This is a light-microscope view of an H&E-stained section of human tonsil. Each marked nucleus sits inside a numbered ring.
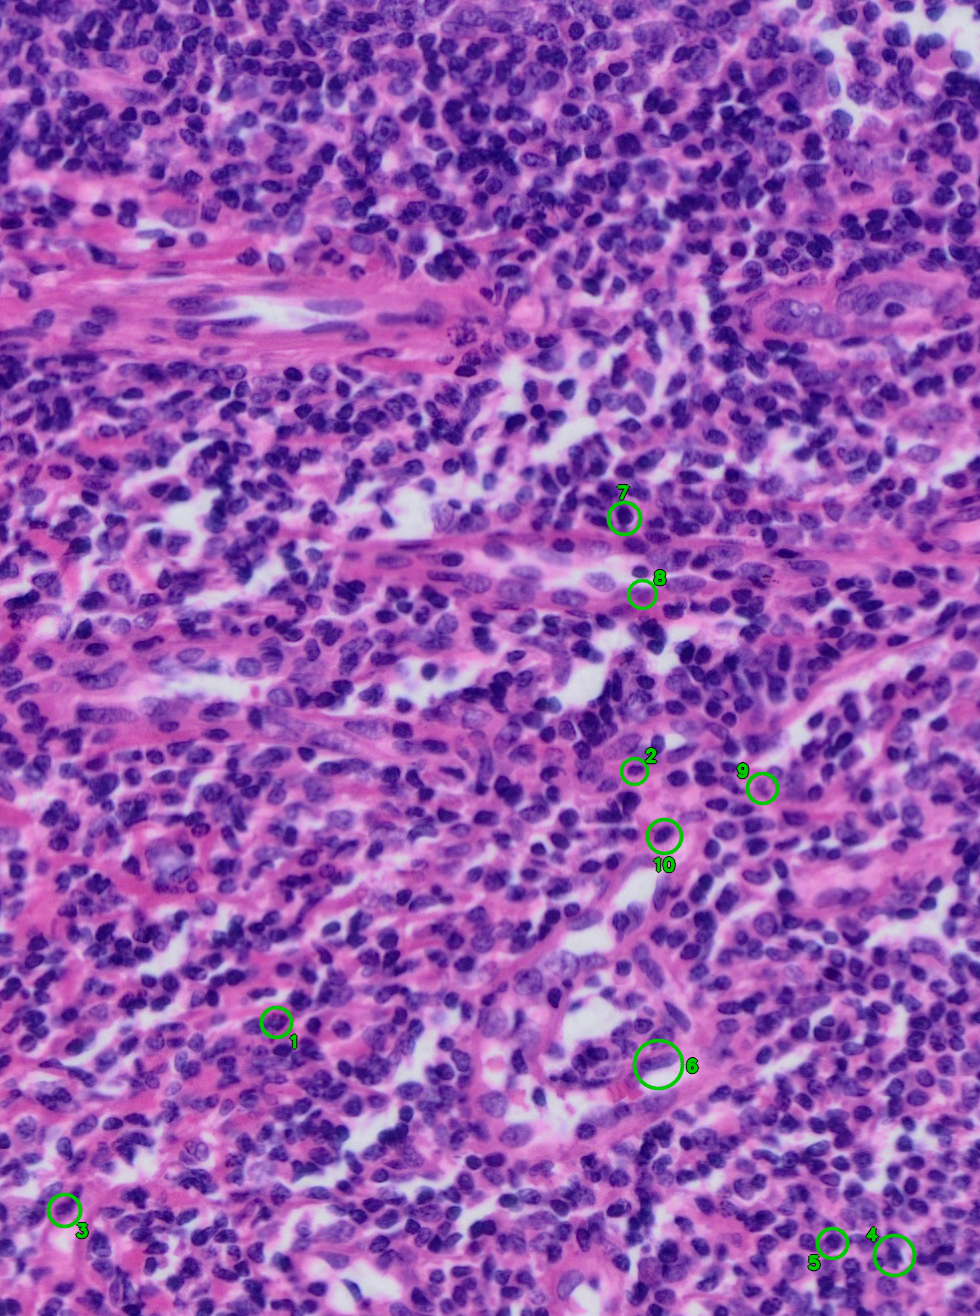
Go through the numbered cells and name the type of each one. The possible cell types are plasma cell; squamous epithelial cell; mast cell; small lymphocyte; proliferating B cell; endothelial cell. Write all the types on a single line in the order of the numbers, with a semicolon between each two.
plasma cell; endothelial cell; endothelial cell; small lymphocyte; small lymphocyte; endothelial cell; small lymphocyte; endothelial cell; endothelial cell; endothelial cell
